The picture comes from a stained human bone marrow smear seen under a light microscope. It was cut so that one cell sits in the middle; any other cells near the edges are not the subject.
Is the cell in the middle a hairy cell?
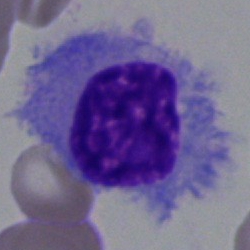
yes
